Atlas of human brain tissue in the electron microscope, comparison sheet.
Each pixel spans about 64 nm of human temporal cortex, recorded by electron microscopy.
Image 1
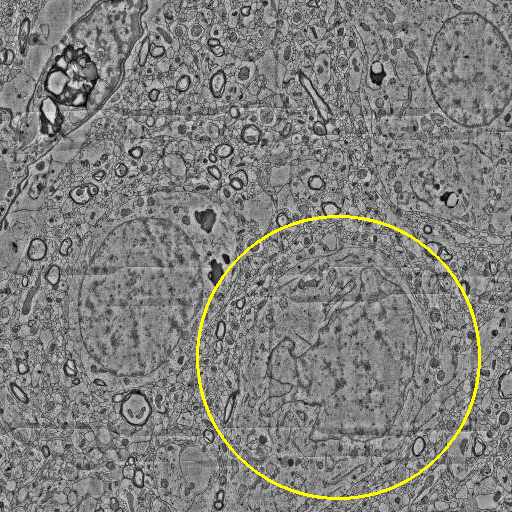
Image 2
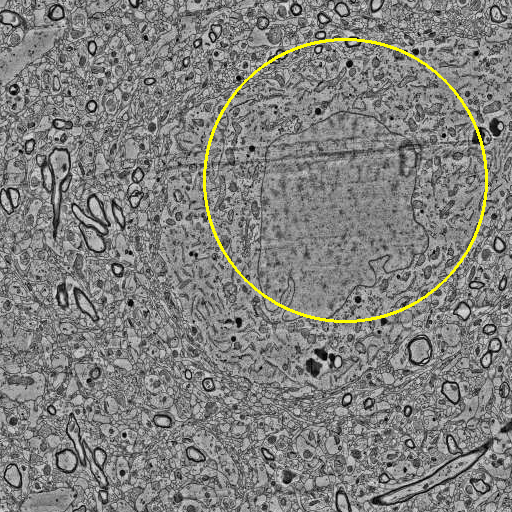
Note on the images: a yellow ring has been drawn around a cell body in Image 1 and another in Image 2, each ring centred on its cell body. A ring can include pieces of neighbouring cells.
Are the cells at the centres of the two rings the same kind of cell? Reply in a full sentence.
No, the two cells are of two kinds.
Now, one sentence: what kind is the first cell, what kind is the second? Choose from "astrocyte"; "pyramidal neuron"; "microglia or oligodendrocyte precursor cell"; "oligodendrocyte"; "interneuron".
The first picture has an interneuron at its ring centre, and the second has a pyramidal neuron.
